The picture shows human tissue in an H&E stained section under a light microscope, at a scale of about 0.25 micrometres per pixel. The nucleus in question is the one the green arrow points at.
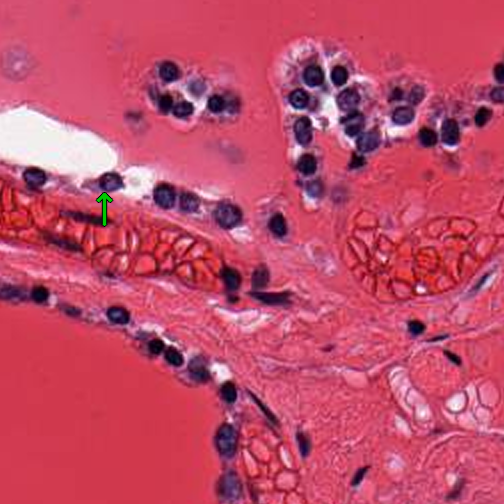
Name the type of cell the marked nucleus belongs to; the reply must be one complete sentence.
The nucleus bearing the mark belongs to a thyroid follicular cell.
